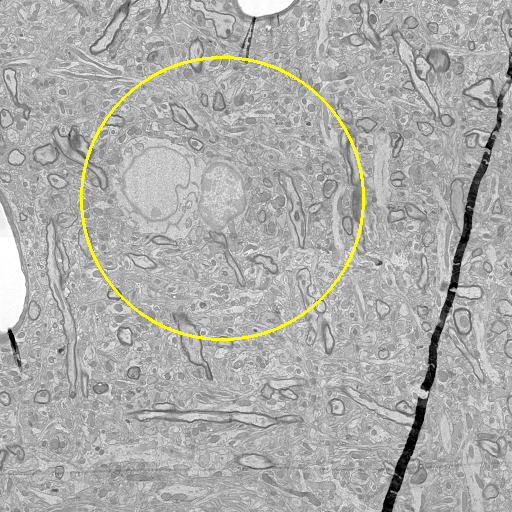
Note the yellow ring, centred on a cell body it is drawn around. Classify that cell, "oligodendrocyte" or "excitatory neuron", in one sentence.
The cell the ring is centred on is an oligodendrocyte.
